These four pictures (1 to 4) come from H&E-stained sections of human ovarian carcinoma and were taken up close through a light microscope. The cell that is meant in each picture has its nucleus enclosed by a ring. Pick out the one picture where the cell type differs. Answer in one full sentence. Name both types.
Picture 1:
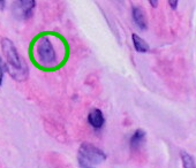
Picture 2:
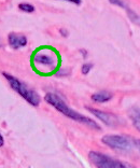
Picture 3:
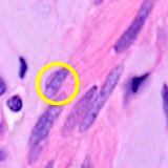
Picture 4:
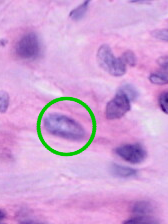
Picture 4 is the odd one out: it shows an endothelial cell, while the others show smooth muscle cells.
